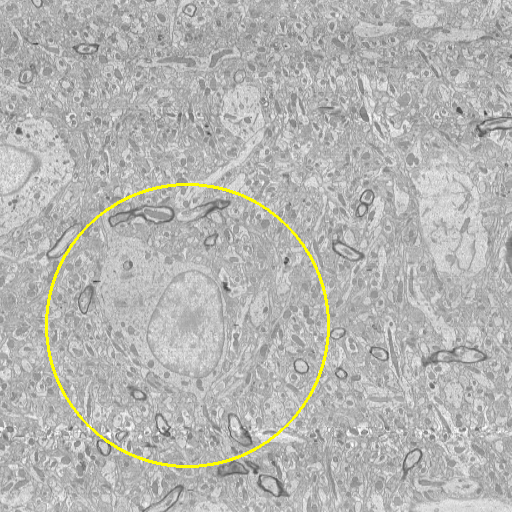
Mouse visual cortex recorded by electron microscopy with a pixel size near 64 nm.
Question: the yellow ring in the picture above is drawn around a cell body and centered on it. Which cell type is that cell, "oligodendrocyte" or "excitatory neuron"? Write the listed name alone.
oligodendrocyte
